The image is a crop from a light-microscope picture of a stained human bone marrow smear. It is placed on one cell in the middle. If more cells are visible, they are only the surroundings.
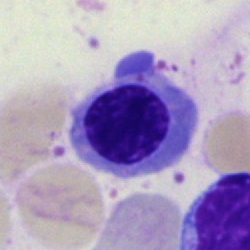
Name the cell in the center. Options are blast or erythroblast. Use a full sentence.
The cell the crop is centered on is an erythroblast.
